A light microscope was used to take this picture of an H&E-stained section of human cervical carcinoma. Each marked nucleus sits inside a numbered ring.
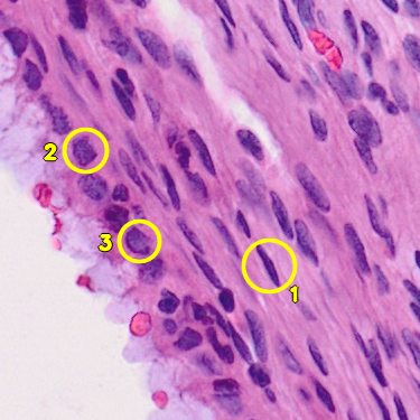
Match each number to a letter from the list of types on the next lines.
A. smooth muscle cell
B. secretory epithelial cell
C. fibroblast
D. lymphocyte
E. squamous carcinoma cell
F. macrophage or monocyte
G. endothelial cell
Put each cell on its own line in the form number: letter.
1: C
2: B
3: B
